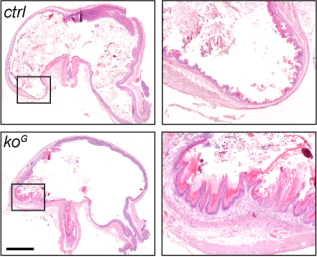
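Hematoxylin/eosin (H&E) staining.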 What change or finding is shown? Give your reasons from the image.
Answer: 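In the lower enlarged image the lining epithelium is much thicker than in the upper enlarged image. The lower enlarged image shows tall folds capped by thick, deep pink layers.
Answer: hyperkeratosis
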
